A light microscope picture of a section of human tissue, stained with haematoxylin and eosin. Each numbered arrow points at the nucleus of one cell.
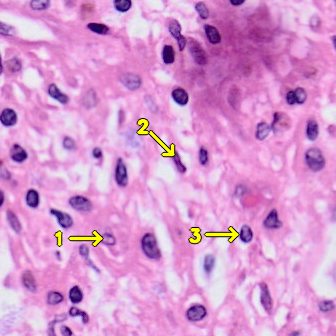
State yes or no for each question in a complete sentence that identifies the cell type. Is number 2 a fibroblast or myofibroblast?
Yes, the cell referred to as number 2 is a fibroblast or myofibroblast.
